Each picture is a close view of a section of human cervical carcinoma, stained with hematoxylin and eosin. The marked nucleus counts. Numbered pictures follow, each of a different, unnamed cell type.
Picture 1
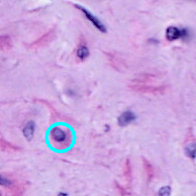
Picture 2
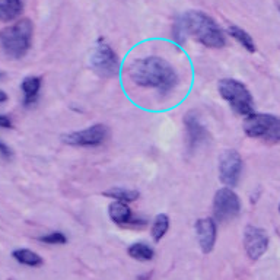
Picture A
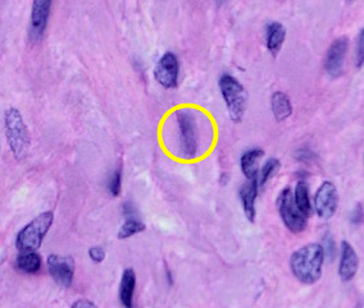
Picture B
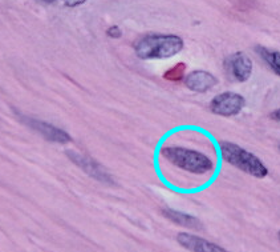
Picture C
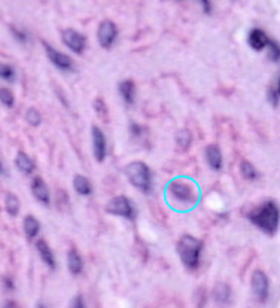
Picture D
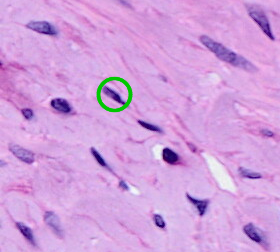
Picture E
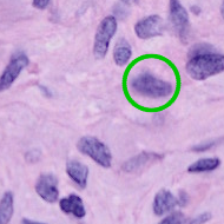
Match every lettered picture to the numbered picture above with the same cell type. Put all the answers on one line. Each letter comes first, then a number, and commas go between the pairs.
A 2, B 2, C 1, D 2, E 2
